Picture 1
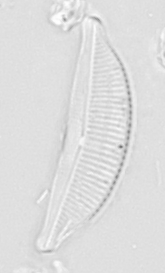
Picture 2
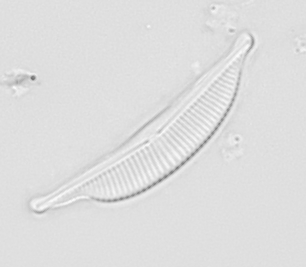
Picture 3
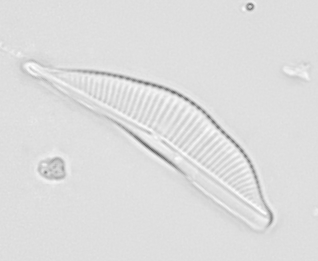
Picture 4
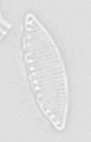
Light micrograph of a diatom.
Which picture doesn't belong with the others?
Picture 4.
